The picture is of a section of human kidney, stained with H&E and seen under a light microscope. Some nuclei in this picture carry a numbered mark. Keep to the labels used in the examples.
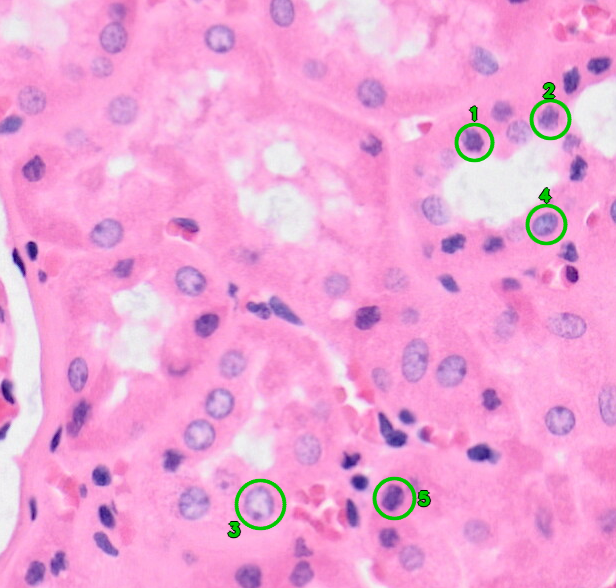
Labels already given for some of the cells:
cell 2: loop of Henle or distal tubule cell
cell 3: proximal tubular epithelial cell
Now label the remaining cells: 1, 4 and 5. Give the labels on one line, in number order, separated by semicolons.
loop of Henle or distal tubule cell; loop of Henle or distal tubule cell; proximal tubular epithelial cell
